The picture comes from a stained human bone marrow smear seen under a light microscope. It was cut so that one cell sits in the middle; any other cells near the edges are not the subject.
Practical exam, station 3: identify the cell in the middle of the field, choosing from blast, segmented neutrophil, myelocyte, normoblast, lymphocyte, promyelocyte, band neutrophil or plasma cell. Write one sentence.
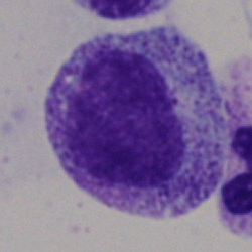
The central cell, amid any neighbouring cells, is a myelocyte.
